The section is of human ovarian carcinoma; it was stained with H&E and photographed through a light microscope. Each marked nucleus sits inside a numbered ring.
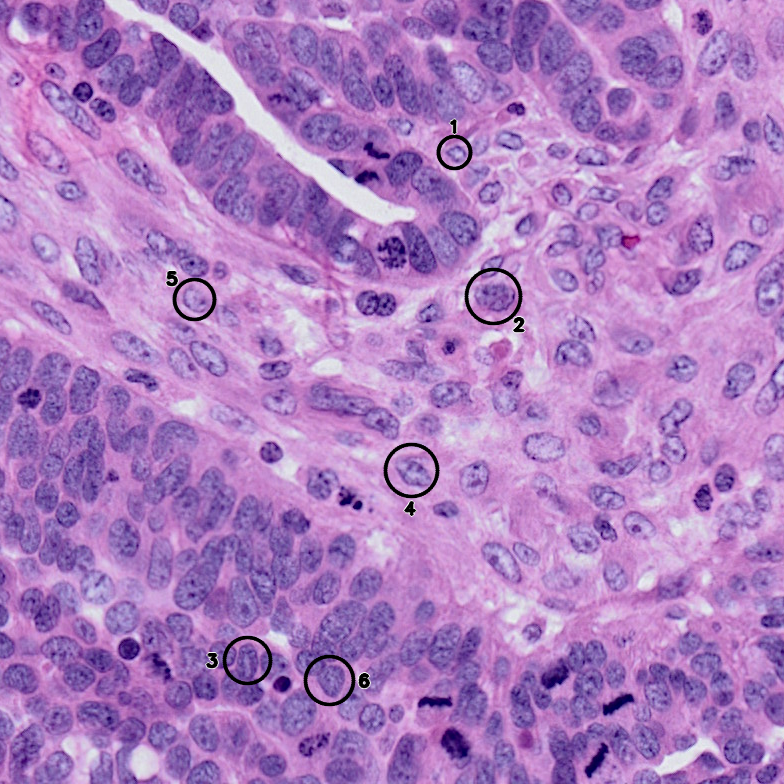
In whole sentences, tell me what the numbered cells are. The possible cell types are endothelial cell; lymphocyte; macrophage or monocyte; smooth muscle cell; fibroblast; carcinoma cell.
Cells 1, 2, 4 and 5 are fibroblasts. Cells 3 and 6 are carcinoma cells.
